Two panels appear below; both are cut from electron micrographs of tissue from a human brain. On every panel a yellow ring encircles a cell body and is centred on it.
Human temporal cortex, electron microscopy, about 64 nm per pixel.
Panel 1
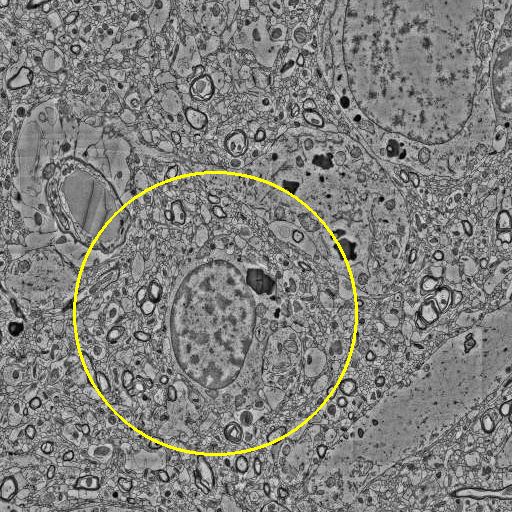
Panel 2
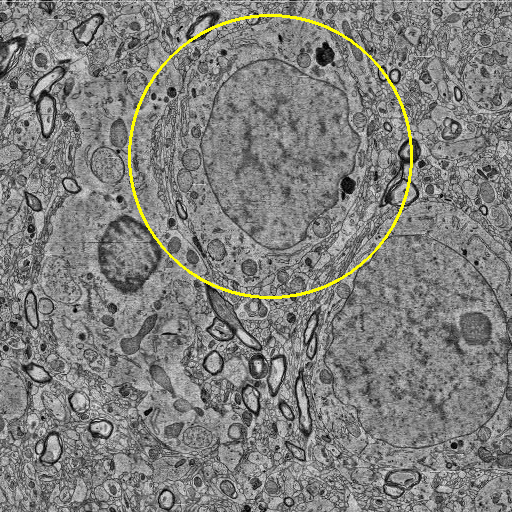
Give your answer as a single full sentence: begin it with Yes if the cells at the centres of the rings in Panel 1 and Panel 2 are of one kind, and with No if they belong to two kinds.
No, the cells in the middle of the rings in Panels 1 and 2 are of two kinds.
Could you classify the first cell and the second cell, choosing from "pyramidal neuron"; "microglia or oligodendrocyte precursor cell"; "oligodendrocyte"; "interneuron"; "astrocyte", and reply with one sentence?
The second cell is a pyramidal neuron, while the first is an oligodendrocyte.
